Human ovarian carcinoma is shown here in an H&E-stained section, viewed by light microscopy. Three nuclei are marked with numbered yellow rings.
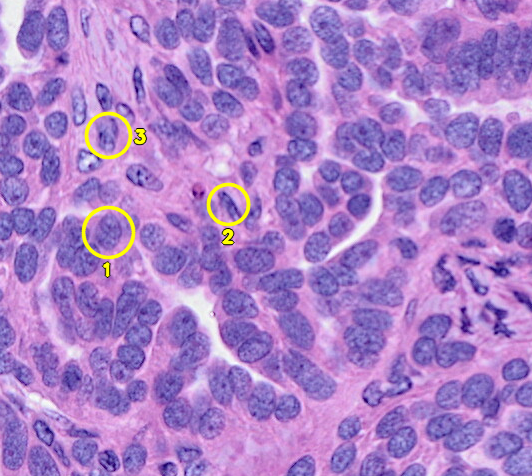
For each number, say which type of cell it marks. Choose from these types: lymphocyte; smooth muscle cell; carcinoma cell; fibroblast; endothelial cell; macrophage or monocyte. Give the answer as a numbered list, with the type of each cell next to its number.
1. carcinoma cell
2. fibroblast
3. fibroblast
